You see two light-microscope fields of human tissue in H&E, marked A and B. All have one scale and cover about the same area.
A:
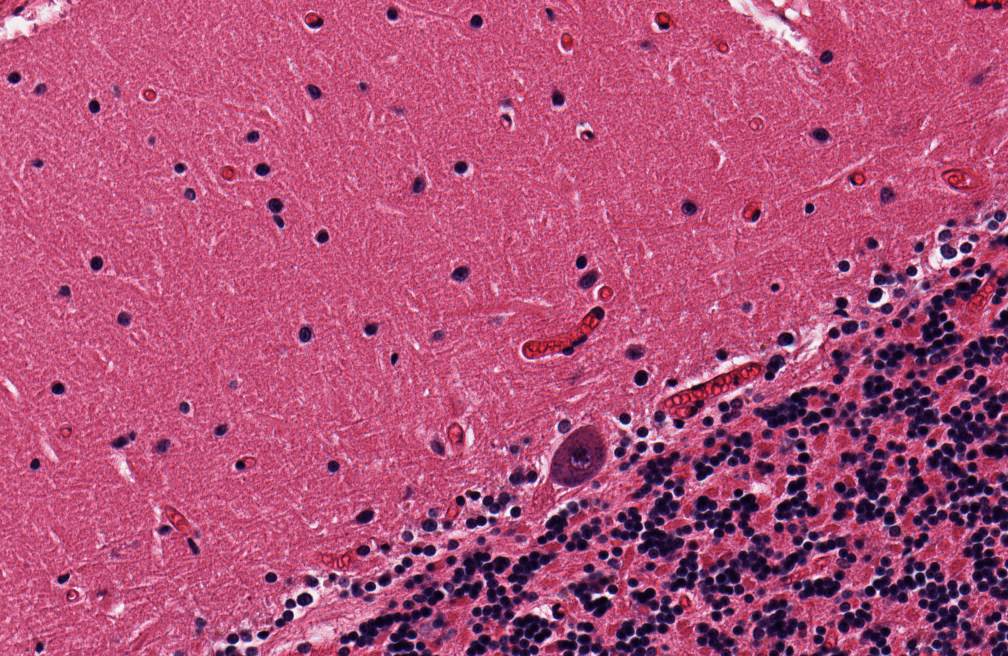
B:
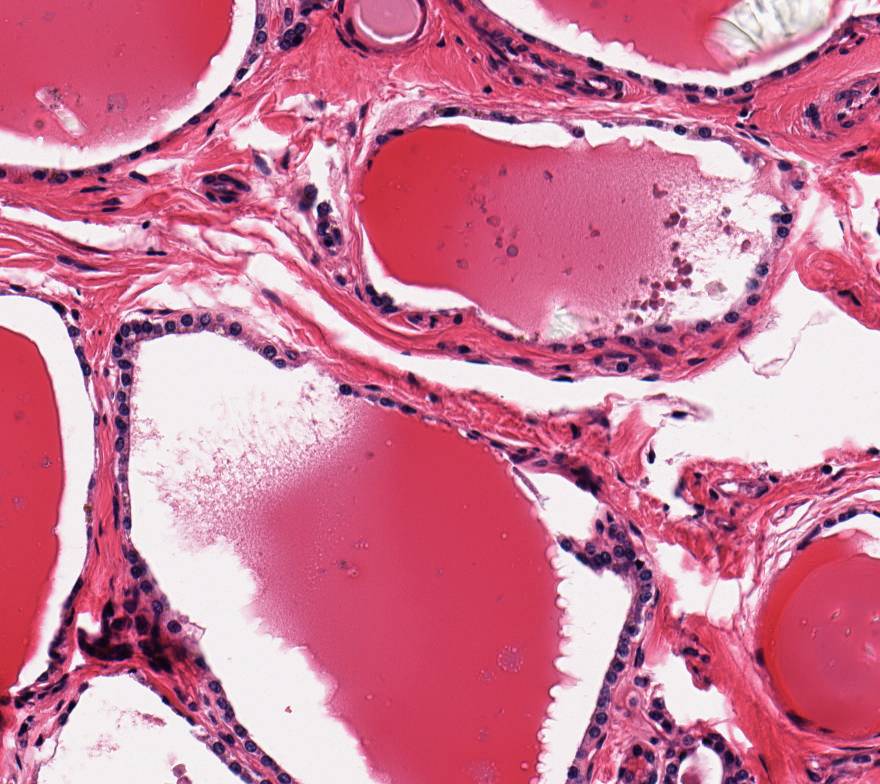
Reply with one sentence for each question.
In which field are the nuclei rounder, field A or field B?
The nuclei are rounder in field A.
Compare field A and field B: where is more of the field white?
More of field B is empty and white.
